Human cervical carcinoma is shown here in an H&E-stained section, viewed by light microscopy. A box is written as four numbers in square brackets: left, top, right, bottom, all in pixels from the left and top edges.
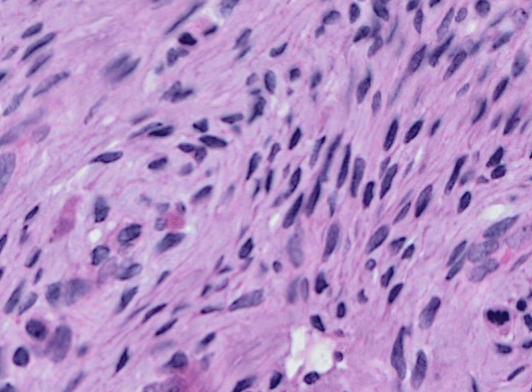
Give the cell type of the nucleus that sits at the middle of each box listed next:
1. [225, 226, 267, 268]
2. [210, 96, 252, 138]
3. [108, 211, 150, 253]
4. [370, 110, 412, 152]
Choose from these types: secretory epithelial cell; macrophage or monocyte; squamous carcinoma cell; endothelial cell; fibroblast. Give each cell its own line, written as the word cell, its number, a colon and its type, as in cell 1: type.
cell 1: fibroblast
cell 2: fibroblast
cell 3: endothelial cell
cell 4: fibroblast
